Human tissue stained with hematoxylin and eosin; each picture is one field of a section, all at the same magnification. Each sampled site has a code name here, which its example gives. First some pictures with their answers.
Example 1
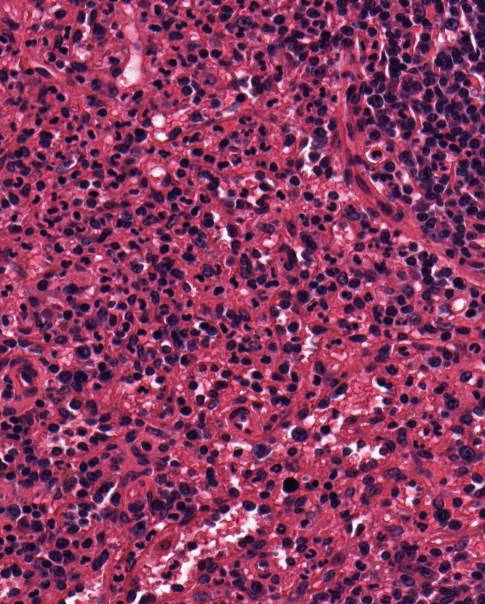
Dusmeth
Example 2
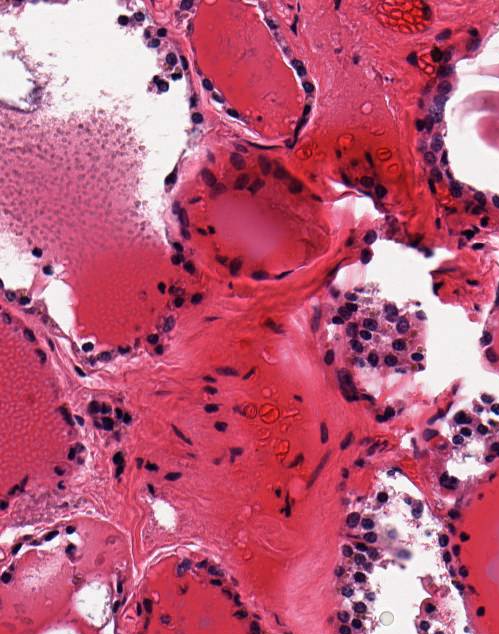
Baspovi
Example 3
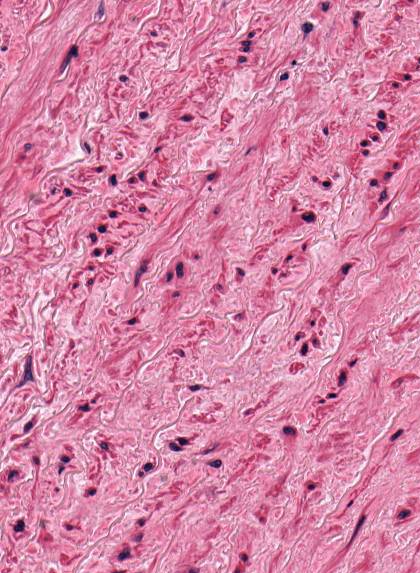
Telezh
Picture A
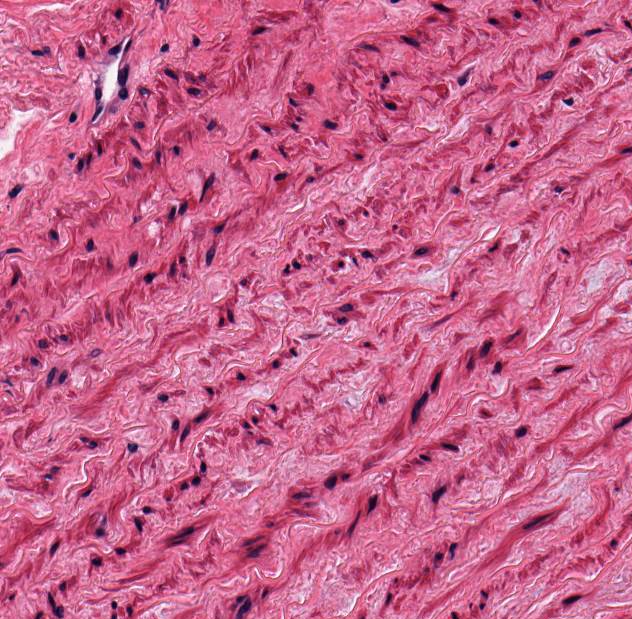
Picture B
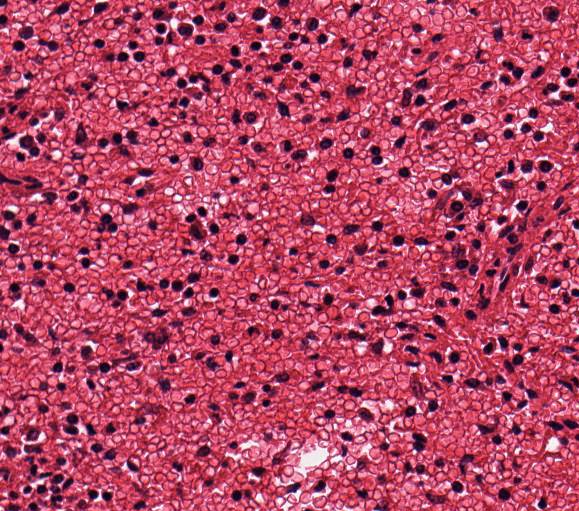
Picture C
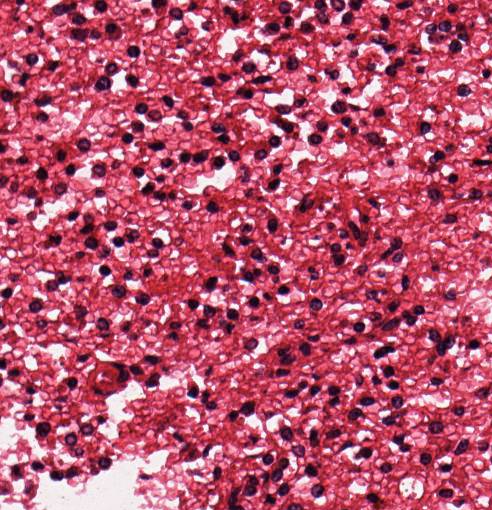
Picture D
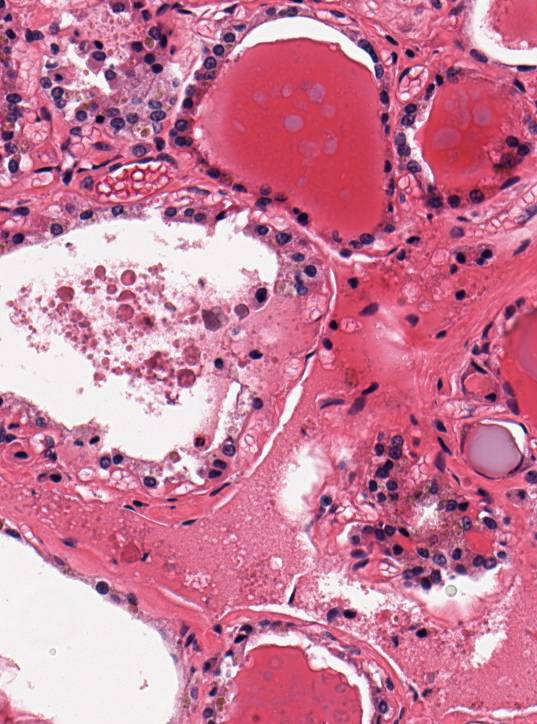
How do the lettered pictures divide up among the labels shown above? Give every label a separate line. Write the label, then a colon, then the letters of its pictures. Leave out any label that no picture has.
Dusmeth: B, C
Baspovi: D
Telezh: A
